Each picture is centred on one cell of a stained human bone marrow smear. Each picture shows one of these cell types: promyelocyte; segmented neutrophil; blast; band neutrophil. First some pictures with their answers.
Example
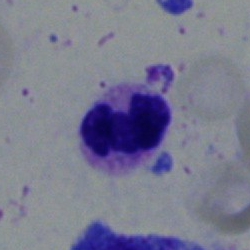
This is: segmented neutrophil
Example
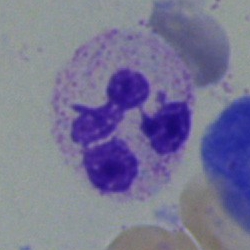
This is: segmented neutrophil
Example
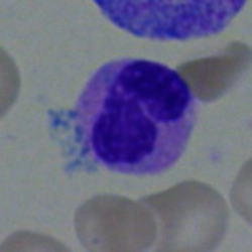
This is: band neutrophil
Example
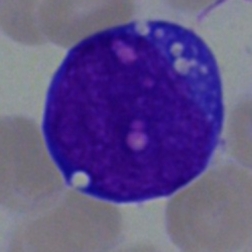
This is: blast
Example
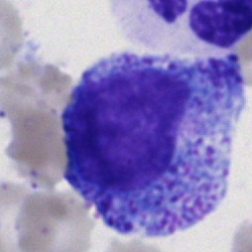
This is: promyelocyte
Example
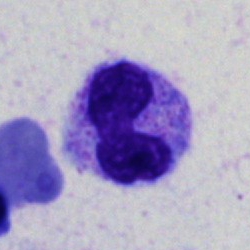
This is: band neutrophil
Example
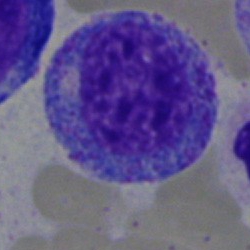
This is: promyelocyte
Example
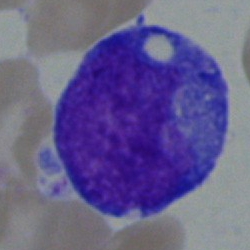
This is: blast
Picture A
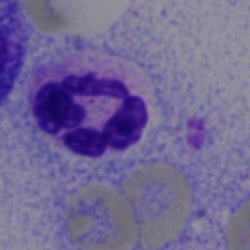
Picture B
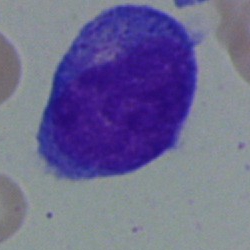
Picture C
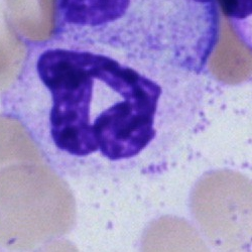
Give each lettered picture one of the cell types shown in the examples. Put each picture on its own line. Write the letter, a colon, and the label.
A: segmented neutrophil
B: blast
C: segmented neutrophil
